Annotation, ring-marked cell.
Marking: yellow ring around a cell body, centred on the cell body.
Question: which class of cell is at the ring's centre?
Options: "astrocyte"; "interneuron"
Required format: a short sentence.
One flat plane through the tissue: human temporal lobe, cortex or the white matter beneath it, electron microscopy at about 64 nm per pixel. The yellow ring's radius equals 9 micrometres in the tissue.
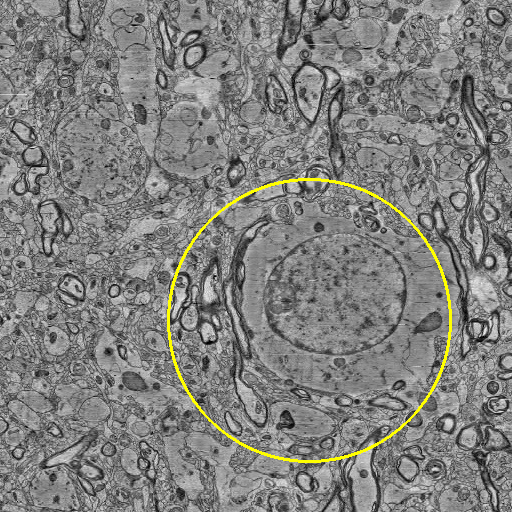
At the ring's centre is an astrocyte.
